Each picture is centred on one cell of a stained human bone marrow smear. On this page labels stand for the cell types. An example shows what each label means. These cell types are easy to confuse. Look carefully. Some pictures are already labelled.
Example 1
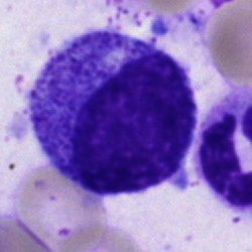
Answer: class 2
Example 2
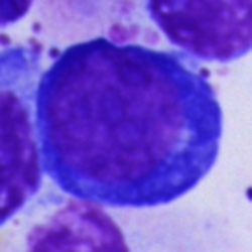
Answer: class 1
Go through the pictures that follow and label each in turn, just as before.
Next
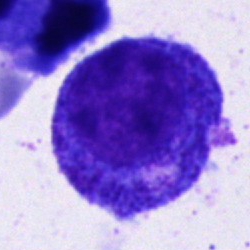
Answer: class 2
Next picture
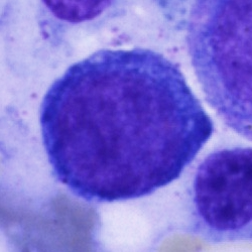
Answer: class 1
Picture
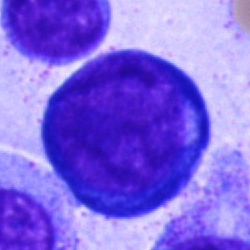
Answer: class 1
